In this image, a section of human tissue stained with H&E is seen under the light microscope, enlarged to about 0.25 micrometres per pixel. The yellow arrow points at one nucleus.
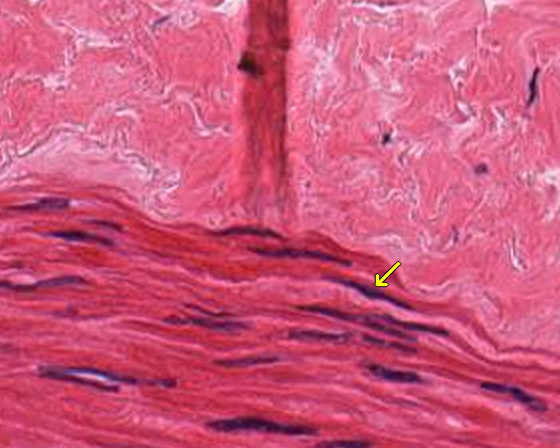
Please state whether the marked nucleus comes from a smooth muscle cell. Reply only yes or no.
yes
